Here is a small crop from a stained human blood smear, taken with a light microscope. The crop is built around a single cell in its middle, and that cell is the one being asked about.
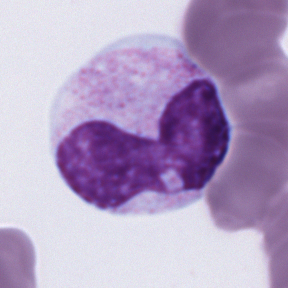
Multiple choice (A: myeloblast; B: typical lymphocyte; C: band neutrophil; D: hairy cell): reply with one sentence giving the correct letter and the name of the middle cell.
Option C is the correct selection, for the cell at the centre is a band neutrophil.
